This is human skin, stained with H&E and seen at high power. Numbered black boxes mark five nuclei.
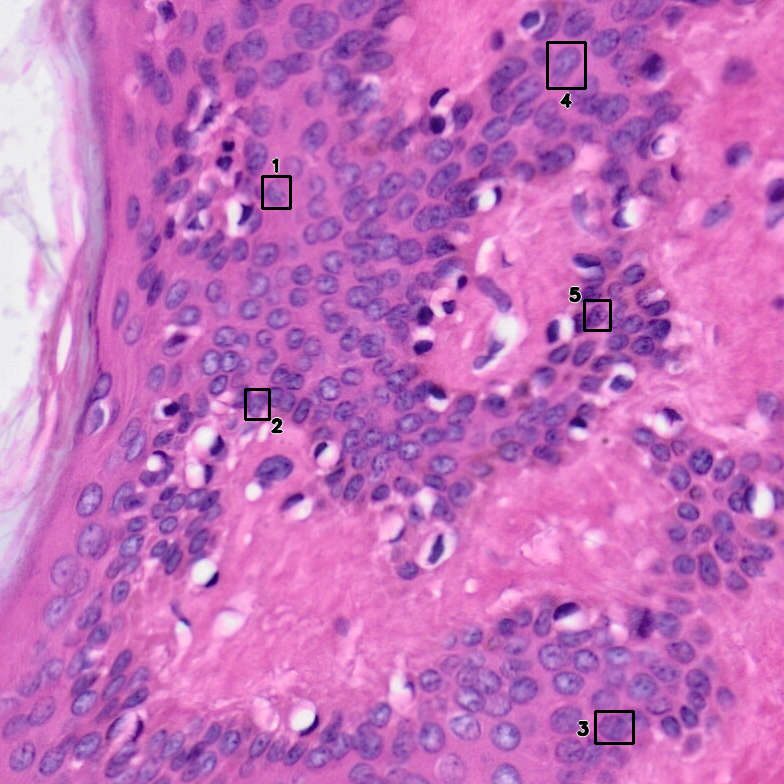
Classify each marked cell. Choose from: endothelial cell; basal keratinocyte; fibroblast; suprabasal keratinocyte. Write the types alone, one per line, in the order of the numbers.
suprabasal keratinocyte
basal keratinocyte
basal keratinocyte
suprabasal keratinocyte
basal keratinocyte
